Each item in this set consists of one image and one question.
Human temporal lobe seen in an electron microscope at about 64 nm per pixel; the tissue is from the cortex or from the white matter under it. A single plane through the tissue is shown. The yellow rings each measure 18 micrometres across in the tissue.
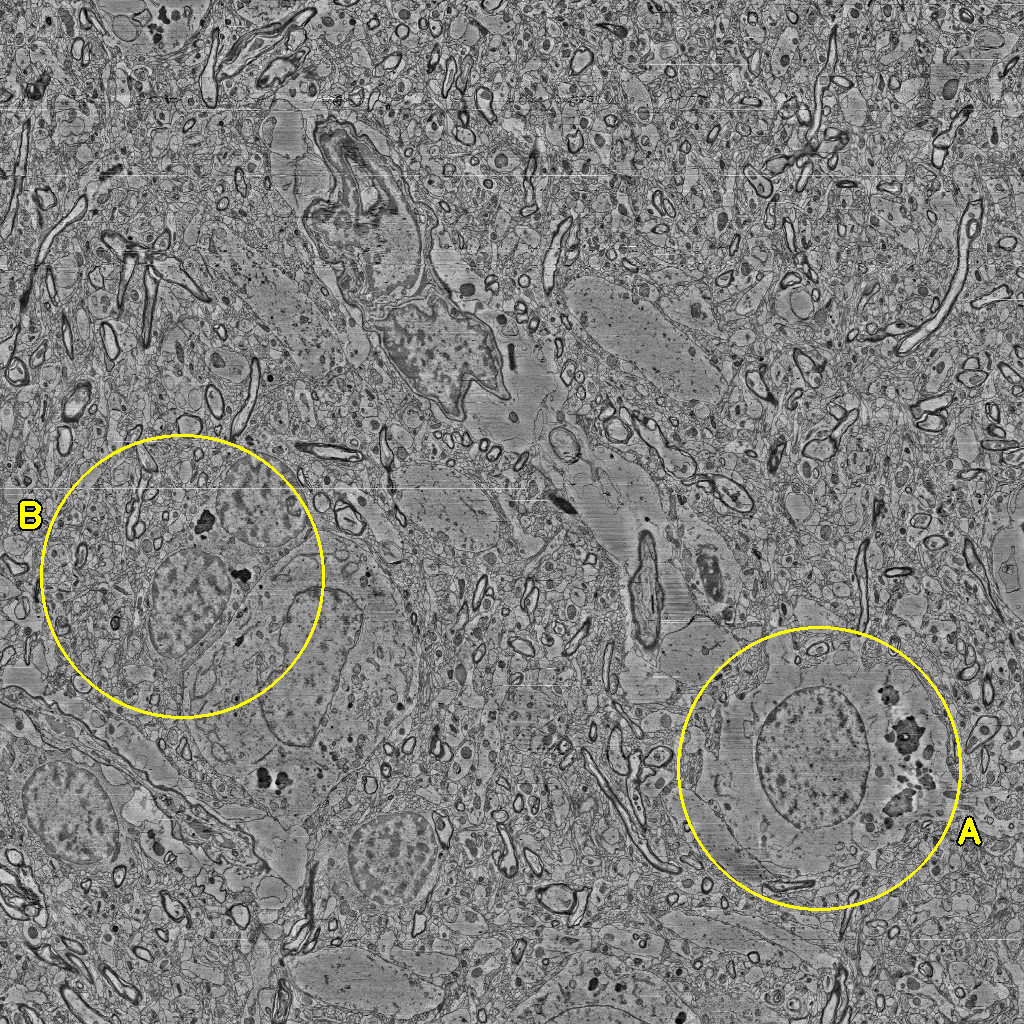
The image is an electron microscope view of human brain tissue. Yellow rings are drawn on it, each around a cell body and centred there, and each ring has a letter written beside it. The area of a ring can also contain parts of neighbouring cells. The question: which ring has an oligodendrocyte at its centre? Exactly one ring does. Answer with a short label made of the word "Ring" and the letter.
Ring B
